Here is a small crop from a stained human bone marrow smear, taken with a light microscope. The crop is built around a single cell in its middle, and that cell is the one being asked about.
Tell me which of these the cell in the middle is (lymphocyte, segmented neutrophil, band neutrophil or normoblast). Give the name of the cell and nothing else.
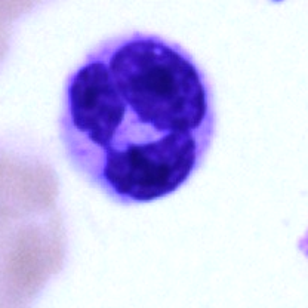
segmented neutrophil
